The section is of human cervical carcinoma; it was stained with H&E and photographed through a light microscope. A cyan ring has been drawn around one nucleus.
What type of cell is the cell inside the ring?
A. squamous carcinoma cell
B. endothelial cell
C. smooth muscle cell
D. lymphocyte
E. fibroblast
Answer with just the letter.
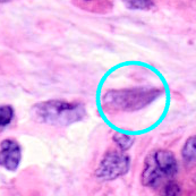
E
